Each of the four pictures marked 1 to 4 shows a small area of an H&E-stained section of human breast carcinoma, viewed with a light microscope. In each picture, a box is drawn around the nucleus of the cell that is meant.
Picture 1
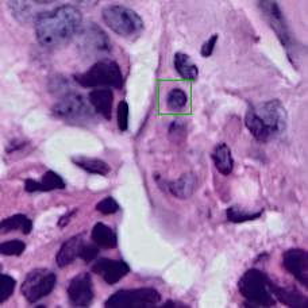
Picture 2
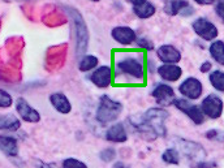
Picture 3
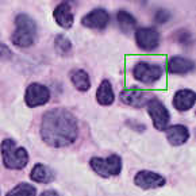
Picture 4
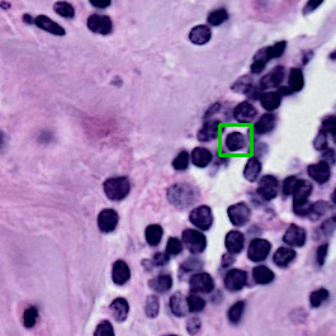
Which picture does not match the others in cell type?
1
